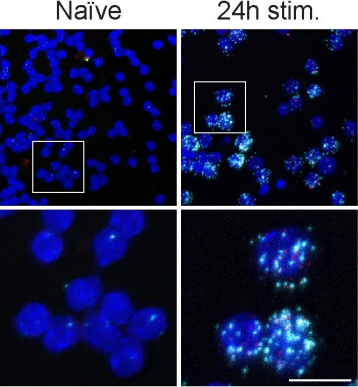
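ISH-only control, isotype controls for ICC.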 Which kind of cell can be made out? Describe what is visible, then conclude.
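Many small, round cells lie in loose groups. Round blue nuclei fill most of each cell.
Lymphocytes.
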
